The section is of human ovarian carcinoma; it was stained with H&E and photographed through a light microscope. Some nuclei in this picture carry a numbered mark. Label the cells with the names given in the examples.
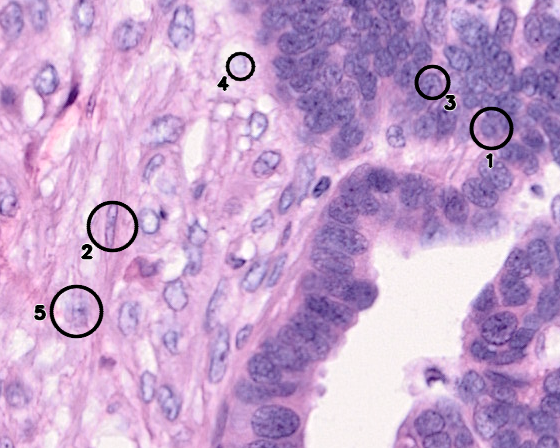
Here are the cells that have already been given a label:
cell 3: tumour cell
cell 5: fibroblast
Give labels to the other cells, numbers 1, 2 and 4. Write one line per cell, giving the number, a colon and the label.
1: tumour cell
2: fibroblast
4: fibroblast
